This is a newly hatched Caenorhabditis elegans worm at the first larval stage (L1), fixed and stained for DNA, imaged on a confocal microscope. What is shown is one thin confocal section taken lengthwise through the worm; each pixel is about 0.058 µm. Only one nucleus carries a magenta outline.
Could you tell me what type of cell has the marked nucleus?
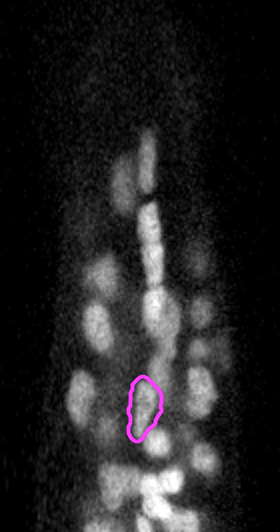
pharyngeal muscle cell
